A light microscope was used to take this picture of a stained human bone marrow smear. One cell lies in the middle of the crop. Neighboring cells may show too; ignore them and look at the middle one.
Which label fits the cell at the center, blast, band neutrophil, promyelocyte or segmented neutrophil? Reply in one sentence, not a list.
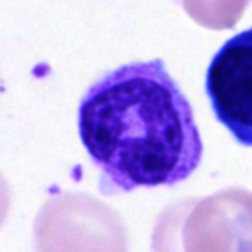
In the central position of this crop, the cell is a band neutrophil.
